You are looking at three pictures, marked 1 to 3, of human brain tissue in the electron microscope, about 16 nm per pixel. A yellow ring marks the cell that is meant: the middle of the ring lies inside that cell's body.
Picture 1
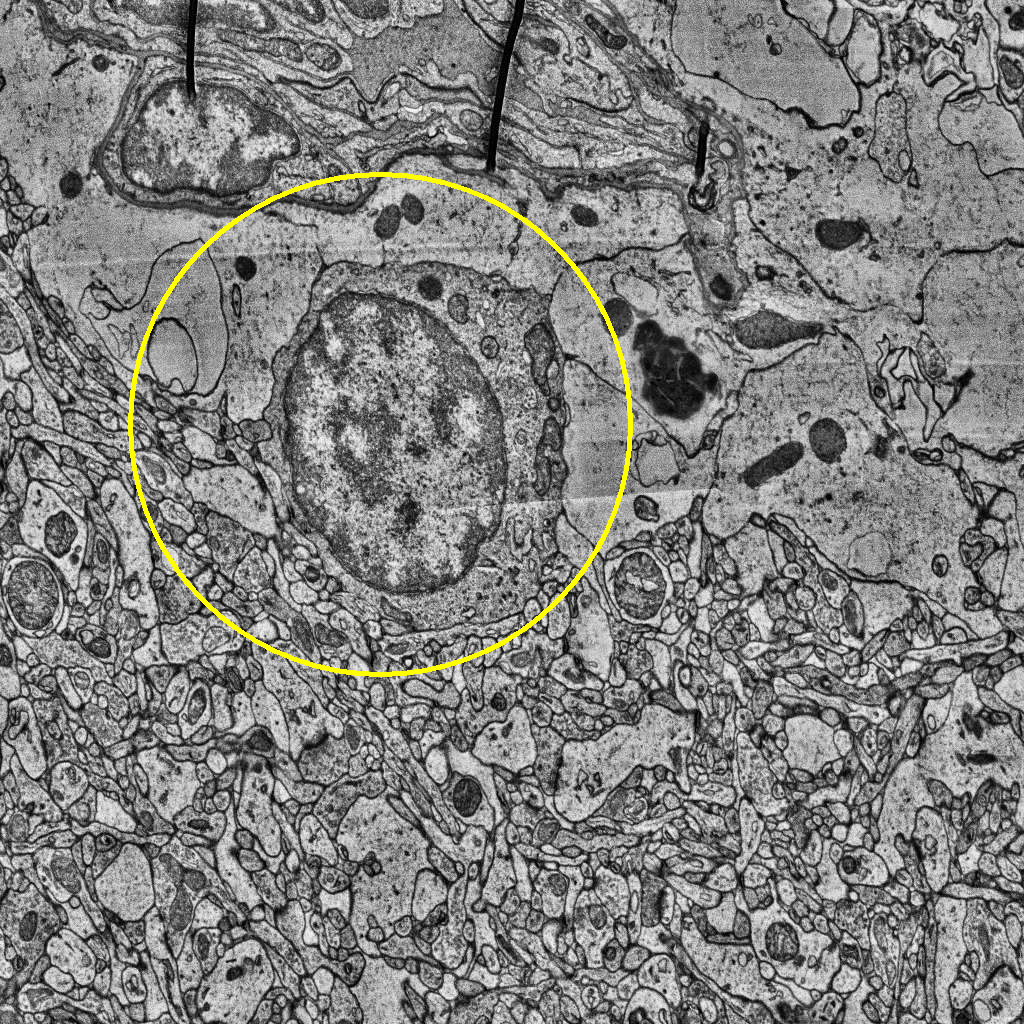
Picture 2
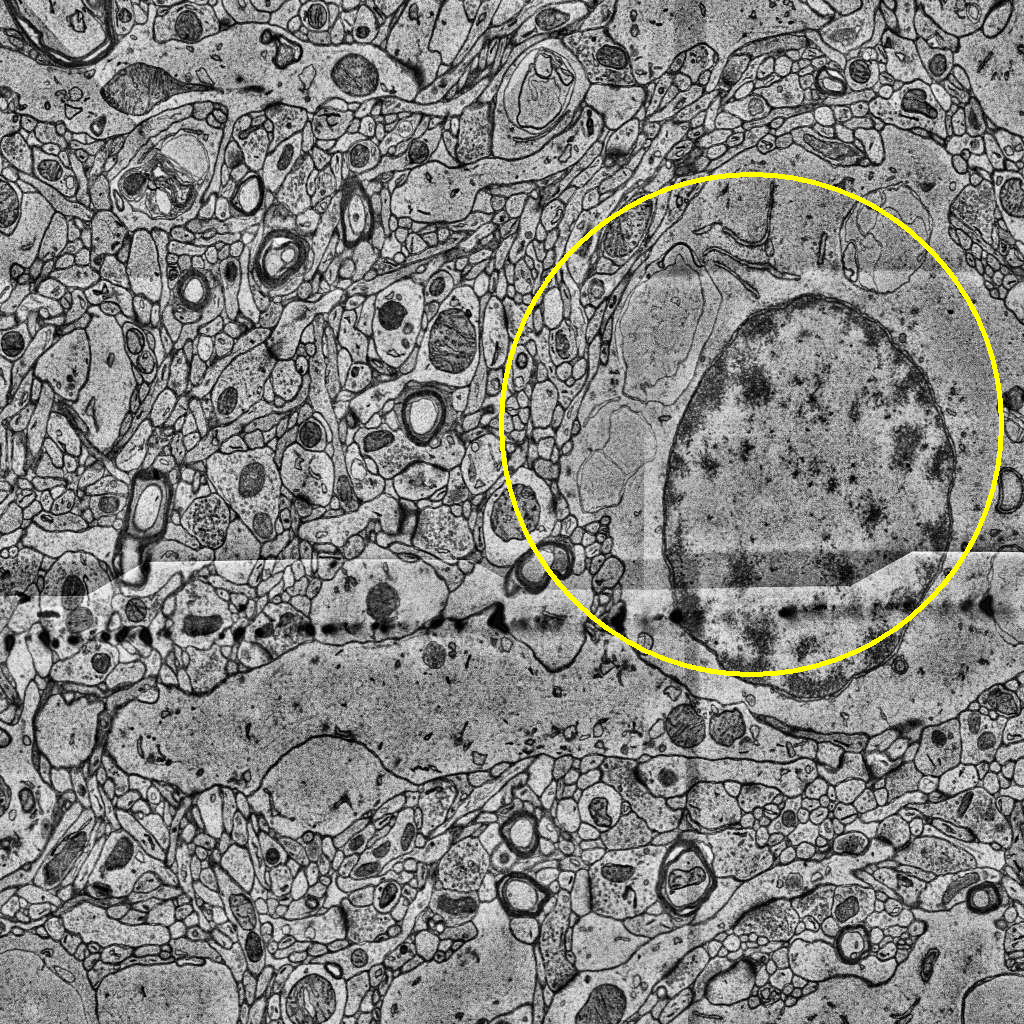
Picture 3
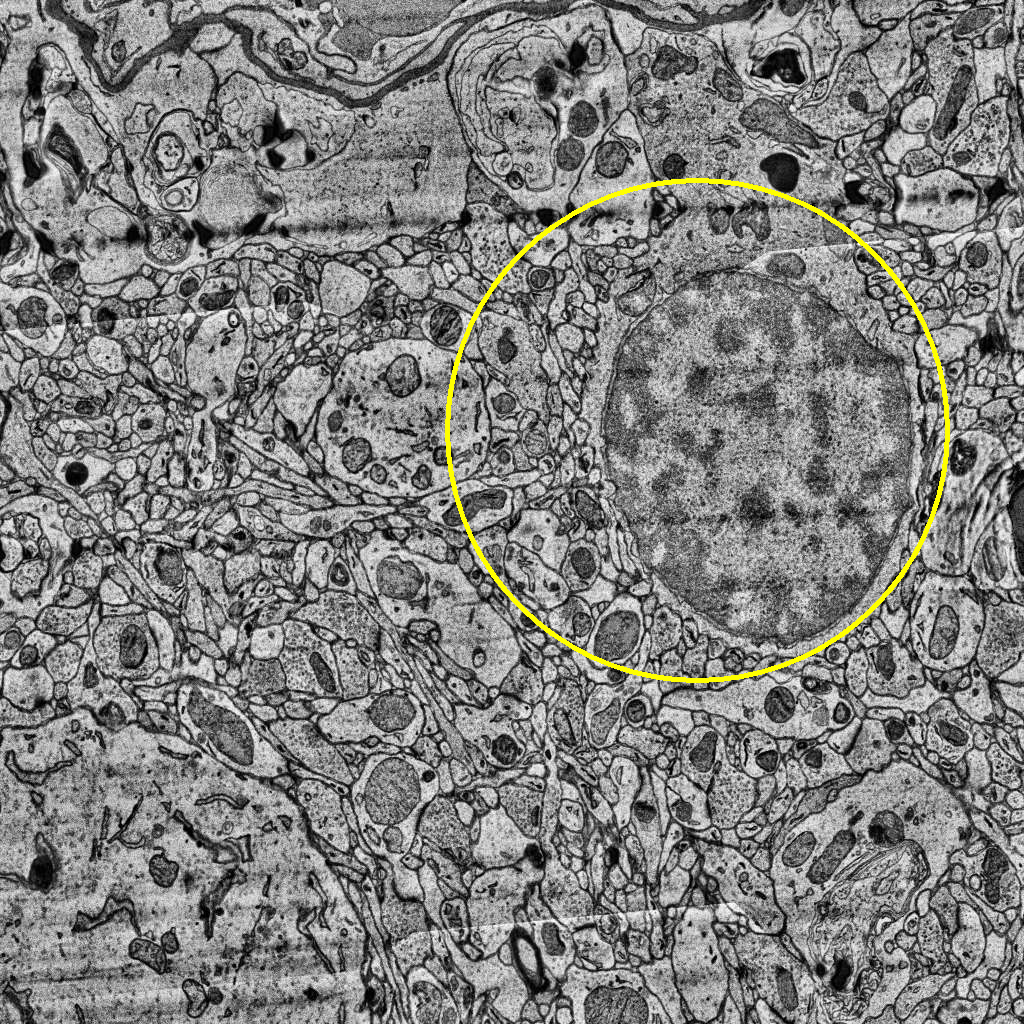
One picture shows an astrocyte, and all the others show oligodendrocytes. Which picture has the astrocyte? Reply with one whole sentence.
It is picture 2 that shows the astrocyte.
